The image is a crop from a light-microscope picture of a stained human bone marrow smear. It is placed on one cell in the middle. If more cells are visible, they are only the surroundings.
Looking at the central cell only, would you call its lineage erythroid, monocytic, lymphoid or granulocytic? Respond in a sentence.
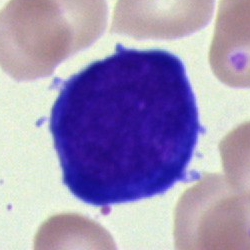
The cell found in the center of the crop is of the erythroid lineage.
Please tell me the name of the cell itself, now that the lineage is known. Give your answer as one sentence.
As for the central cell, it is a proerythroblast.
